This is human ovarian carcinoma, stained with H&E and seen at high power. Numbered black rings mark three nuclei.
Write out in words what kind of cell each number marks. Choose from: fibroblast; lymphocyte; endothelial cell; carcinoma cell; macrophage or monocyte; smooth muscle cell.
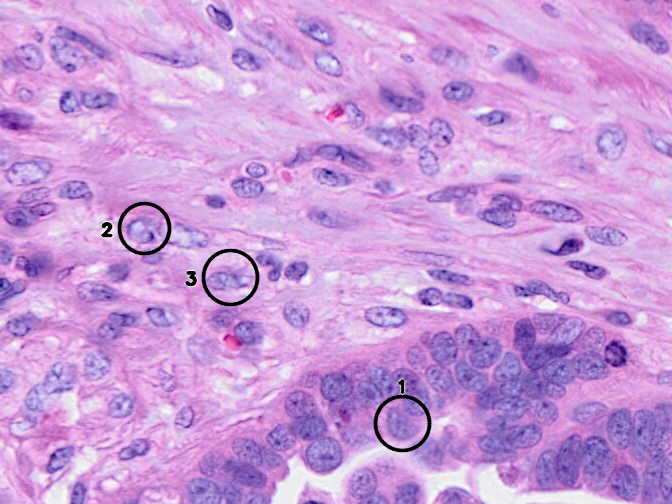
Cell 1 is a carcinoma cell. Cells 2 and 3 are fibroblasts.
